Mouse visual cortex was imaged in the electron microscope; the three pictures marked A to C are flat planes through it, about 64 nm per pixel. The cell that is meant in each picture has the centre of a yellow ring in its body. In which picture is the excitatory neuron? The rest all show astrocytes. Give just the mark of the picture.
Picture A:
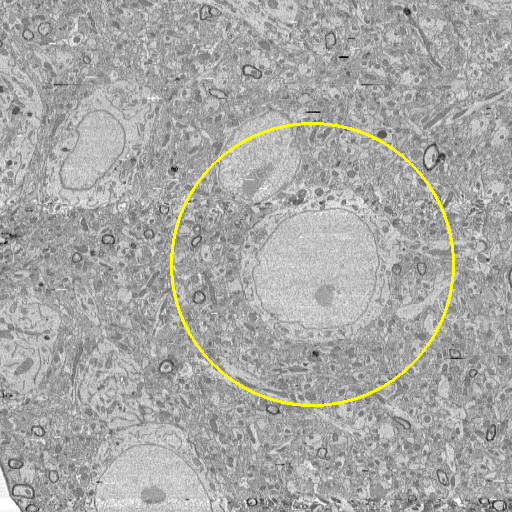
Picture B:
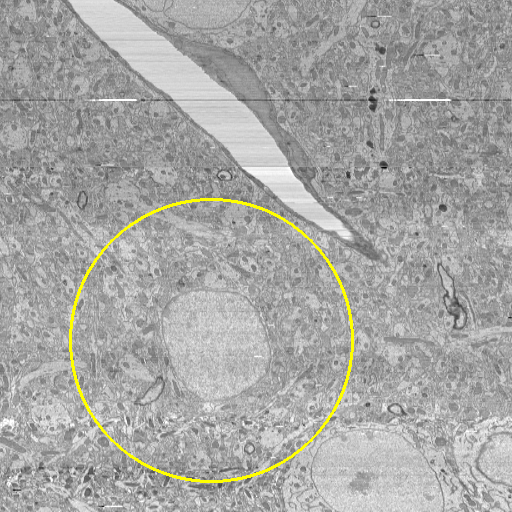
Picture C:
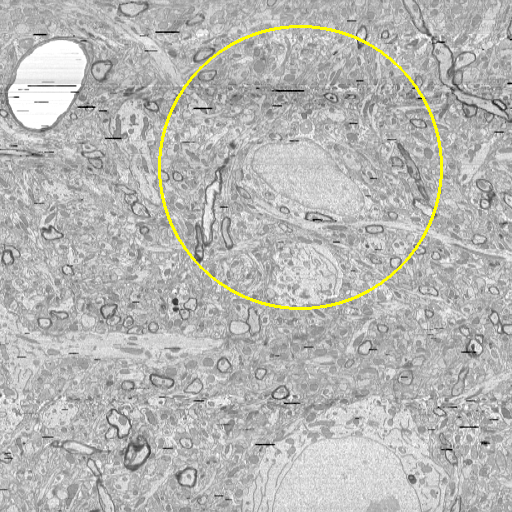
A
